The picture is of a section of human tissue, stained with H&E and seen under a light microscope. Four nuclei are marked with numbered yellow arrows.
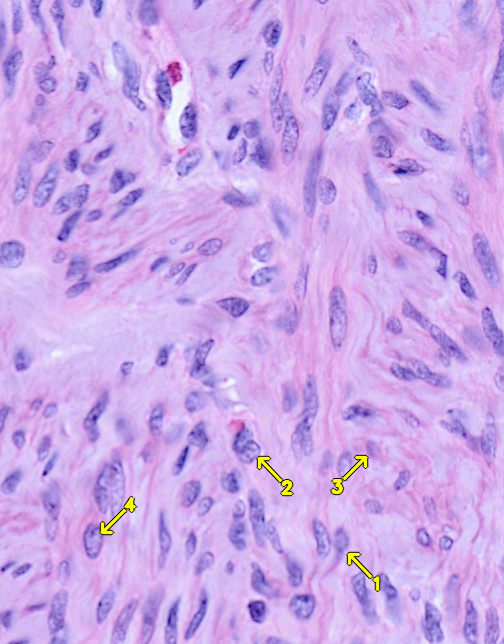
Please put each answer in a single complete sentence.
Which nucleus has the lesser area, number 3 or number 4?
The smaller nucleus is 3, and 4 covers roughly 3 times its area.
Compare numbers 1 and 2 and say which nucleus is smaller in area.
It is nucleus 1; nucleus 2 has about 2 times its area.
